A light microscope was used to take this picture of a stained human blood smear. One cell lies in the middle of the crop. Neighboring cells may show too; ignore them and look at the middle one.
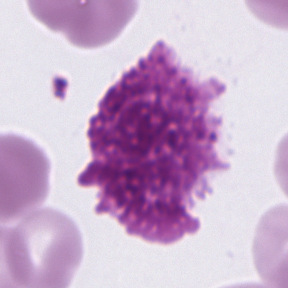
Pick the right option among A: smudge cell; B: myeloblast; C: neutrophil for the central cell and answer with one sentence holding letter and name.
What option A states is correct, the central cell being a smudge cell.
